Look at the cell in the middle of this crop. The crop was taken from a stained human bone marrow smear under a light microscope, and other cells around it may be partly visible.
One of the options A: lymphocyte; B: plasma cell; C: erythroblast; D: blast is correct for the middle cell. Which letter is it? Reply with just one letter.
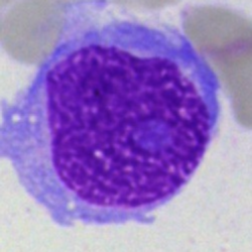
D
